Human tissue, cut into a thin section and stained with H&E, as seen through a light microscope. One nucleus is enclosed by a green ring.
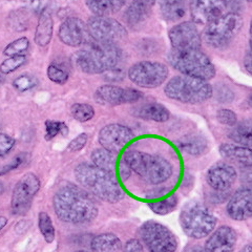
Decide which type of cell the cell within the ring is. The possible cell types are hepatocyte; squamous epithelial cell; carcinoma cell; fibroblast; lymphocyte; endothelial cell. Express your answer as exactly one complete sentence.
Just put down that the cell within the ring is a carcinoma cell.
